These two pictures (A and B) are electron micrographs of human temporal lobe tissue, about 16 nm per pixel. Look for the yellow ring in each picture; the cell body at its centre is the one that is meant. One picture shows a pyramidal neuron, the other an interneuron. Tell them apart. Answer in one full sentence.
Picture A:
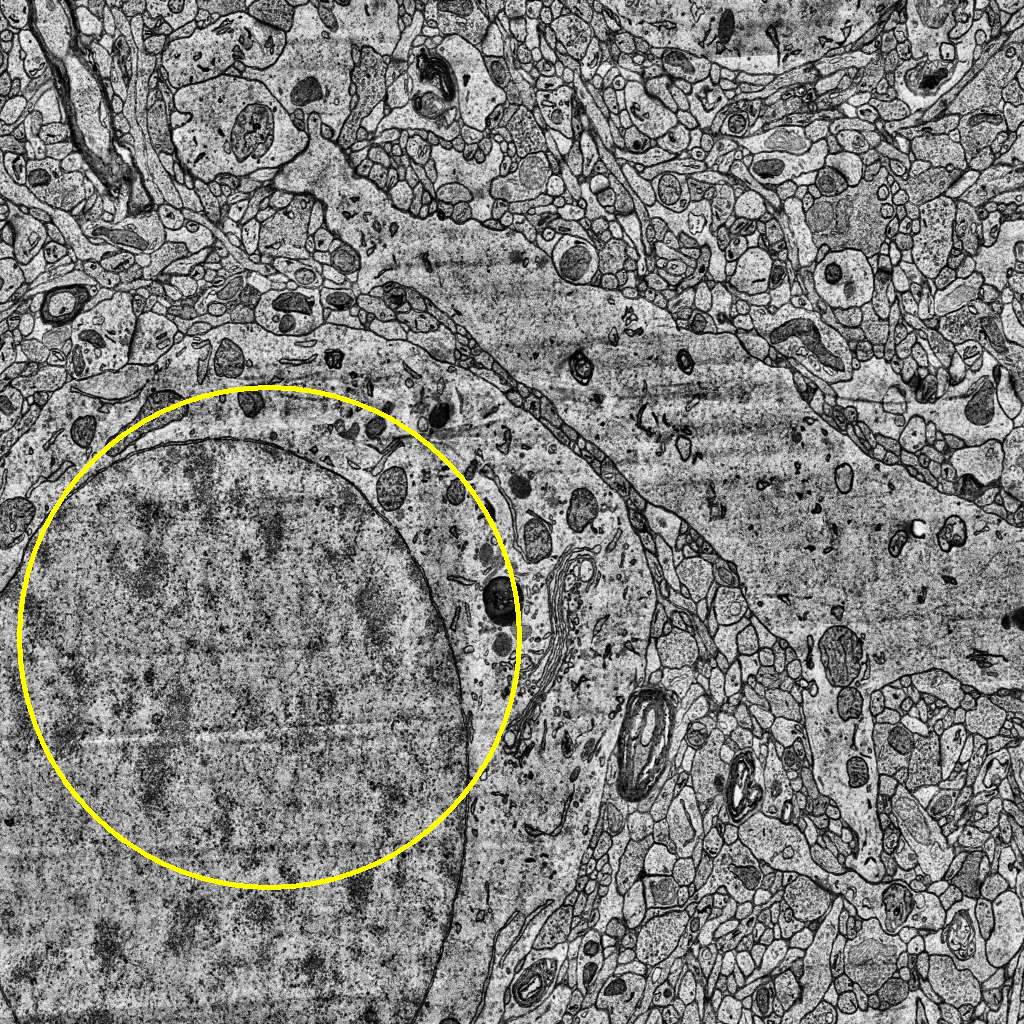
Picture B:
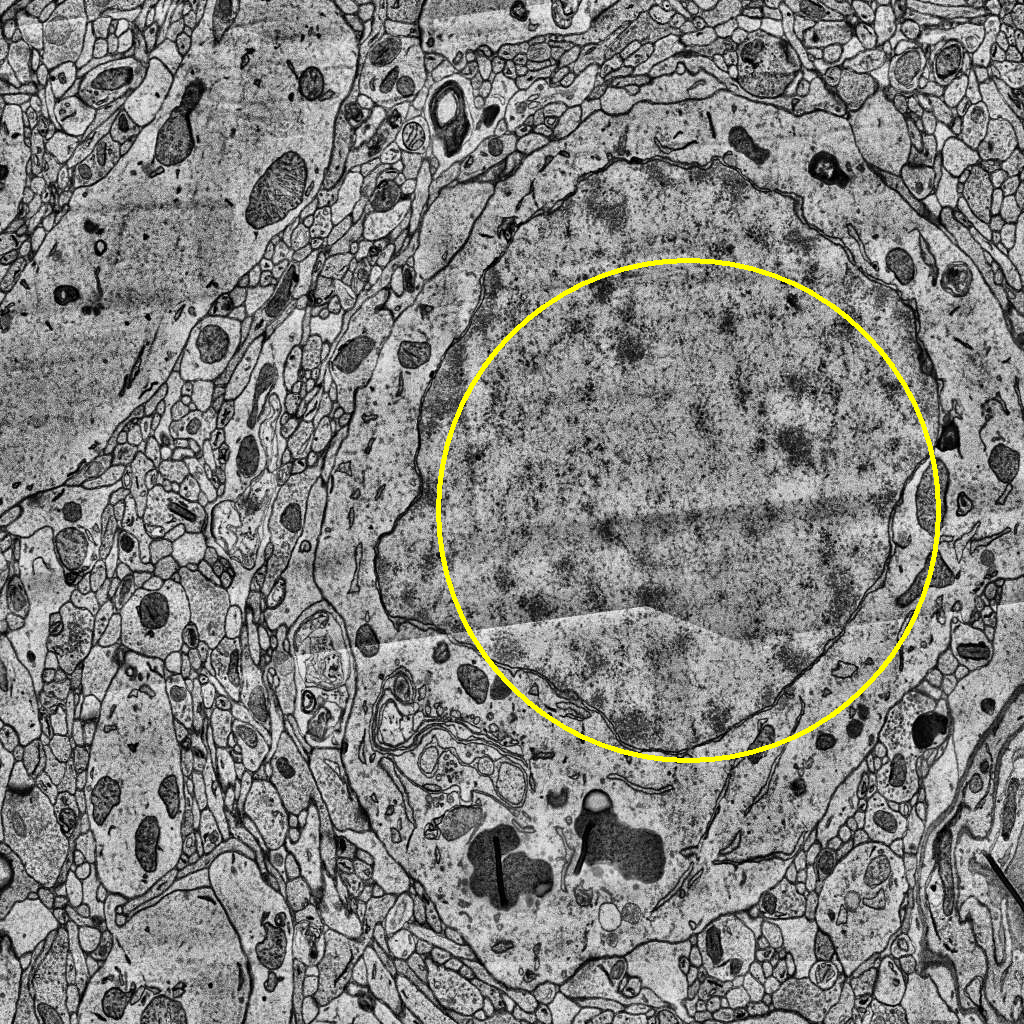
It is picture A that shows a pyramidal neuron, and picture B that shows an interneuron.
